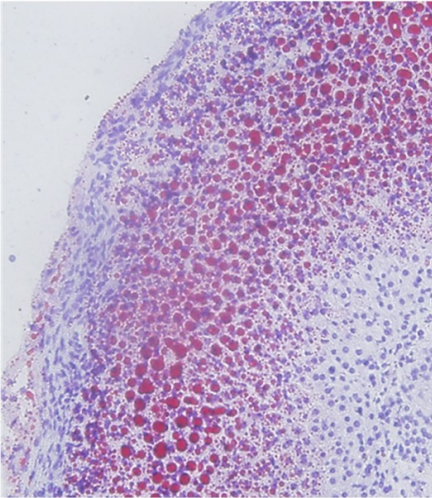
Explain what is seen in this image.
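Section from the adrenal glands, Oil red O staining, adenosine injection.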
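A thin capsule with flattened cells runs along the left edge, and beneath it lies a band of small, closely set blue nuclei that carry almost no red. Inward from this band, cells hold round red droplets, large and crowded in some places, and finer and sparser in others.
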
